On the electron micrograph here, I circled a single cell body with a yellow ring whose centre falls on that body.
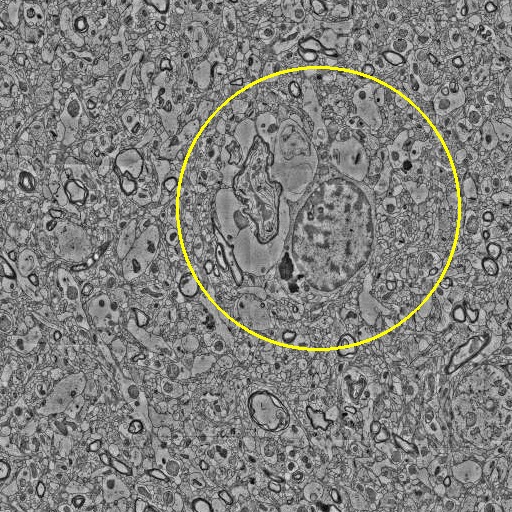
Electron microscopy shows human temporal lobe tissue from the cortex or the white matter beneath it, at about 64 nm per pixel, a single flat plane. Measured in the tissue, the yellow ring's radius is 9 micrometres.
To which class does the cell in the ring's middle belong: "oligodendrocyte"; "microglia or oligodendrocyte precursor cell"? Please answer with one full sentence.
In this picture, the cell body circled at the ring's centre belongs to an oligodendrocyte.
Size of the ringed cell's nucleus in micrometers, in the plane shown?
Roughly 7 by 5 micrometres in this plane, for the nucleus of the ringed cell.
